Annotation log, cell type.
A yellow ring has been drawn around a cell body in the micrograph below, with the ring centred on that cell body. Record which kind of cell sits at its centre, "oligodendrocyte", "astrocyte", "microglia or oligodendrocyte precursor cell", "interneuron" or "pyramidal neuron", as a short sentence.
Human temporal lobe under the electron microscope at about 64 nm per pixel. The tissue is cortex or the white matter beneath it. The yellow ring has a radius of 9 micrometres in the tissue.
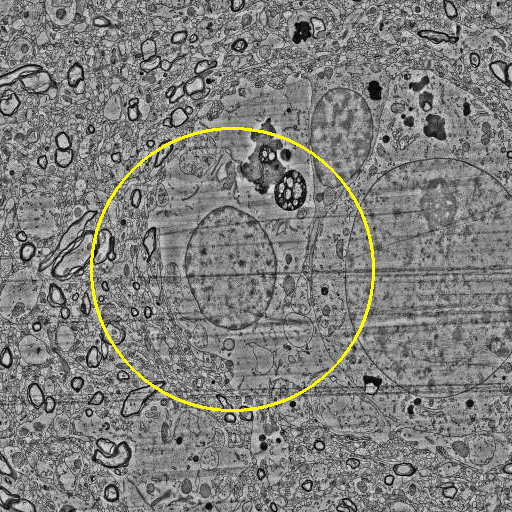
The cell at the centre of this ring is an astrocyte.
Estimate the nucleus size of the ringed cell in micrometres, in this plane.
In this plane the nucleus measures roughly 8 by 6 micrometres.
